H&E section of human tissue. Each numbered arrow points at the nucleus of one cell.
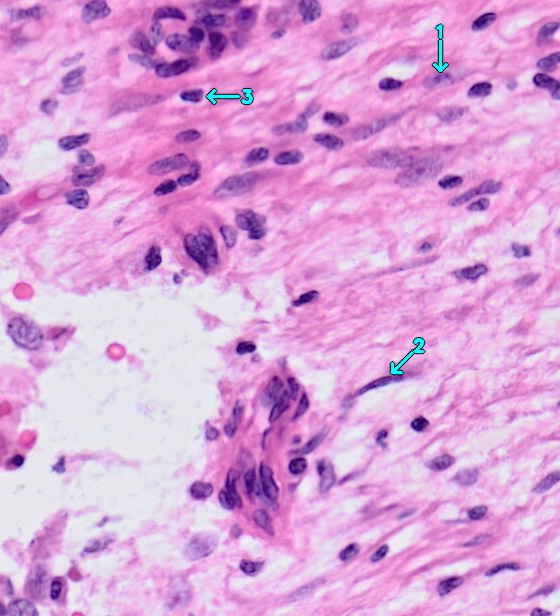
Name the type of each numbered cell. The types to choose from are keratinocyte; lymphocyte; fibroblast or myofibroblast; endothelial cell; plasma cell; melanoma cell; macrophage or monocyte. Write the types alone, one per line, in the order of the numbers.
fibroblast or myofibroblast
fibroblast or myofibroblast
lymphocyte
